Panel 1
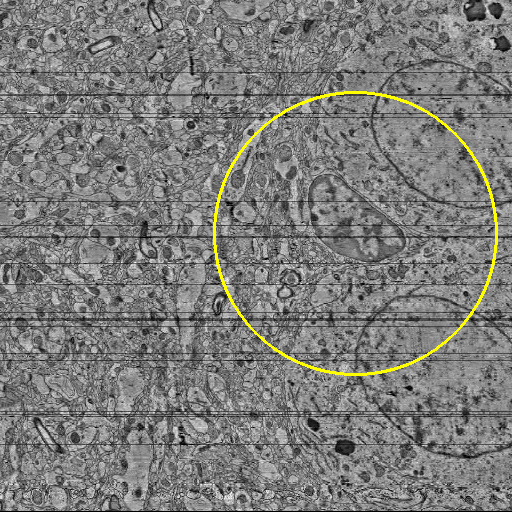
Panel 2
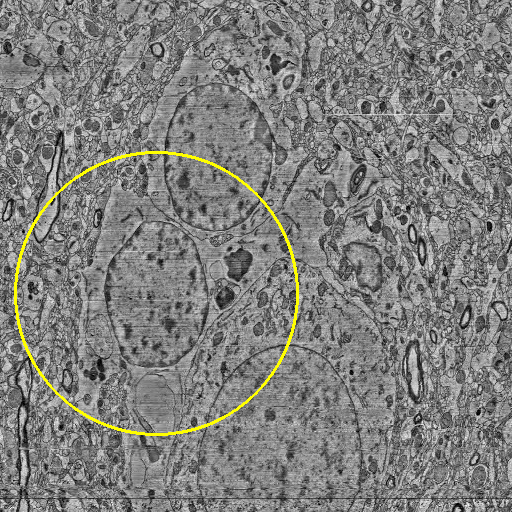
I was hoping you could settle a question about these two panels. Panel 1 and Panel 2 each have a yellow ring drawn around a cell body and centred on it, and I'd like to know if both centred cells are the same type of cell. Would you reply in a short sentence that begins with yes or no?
No, they are two types of cell.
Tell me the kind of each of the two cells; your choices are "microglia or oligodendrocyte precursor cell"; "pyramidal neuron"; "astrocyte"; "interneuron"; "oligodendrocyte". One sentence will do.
The ringed cell is a microglial cell or oligodendrocyte precursor cell in the first picture and an astrocyte in the second picture.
